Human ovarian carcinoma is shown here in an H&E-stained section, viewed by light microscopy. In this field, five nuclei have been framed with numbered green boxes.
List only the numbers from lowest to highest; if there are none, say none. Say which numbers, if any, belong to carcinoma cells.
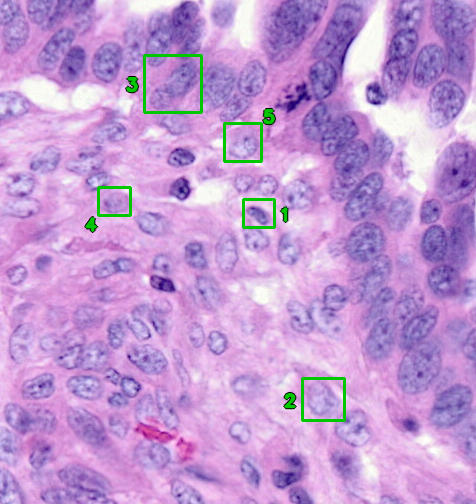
3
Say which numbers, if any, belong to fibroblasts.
2, 4, 5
